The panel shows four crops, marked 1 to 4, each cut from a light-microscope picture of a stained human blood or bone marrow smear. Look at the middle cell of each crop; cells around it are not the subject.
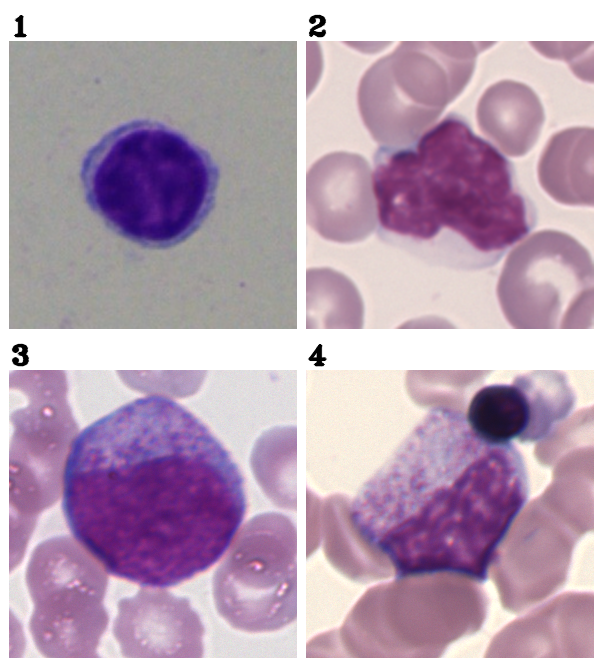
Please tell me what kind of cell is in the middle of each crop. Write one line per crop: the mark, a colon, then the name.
1: lymphocyte
2: lymphocyte
3: promyelocyte
4: promyelocyte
